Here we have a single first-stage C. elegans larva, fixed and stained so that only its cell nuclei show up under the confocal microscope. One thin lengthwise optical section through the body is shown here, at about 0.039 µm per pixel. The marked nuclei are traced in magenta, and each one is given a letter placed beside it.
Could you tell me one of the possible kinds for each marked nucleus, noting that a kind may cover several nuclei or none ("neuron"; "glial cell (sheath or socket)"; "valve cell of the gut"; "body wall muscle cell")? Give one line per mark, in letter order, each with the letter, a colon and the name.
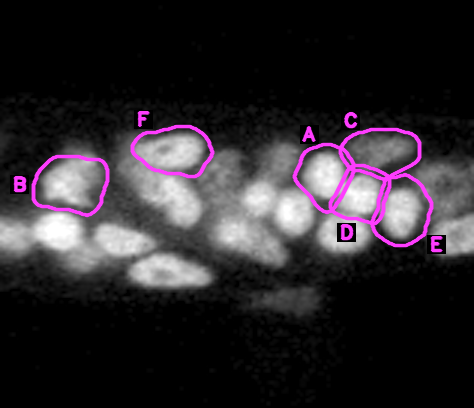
A: neuron
B: valve cell of the gut
C: body wall muscle cell
D: glial cell (sheath or socket)
E: neuron
F: body wall muscle cell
